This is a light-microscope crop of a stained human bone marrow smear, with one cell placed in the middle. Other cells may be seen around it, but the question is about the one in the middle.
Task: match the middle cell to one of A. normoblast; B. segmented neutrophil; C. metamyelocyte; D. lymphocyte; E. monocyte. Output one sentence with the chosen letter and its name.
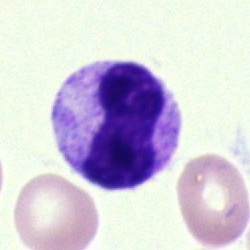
Identification: the cell in the middle is a metamyelocyte, matching option C.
